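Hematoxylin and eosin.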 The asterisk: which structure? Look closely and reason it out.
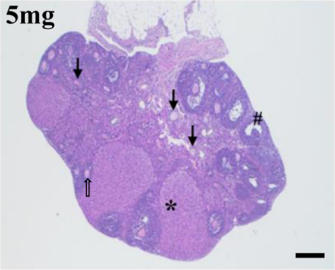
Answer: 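The marked structure is a large solid pink rounded body. It has no fluid-filled cavity.
Corpora lutea.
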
